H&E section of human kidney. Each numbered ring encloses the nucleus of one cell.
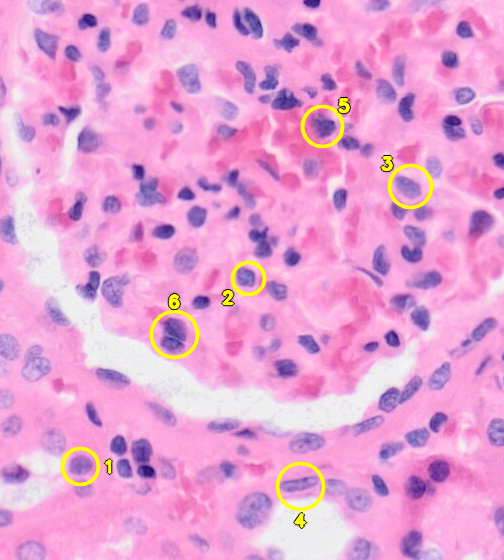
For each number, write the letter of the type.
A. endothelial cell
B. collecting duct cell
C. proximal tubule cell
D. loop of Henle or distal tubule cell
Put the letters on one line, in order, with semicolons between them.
D; A; A; B; A; A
